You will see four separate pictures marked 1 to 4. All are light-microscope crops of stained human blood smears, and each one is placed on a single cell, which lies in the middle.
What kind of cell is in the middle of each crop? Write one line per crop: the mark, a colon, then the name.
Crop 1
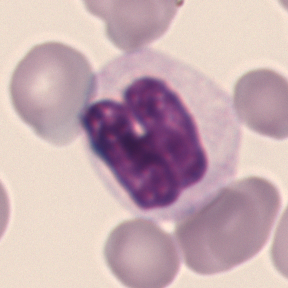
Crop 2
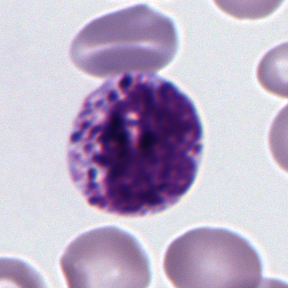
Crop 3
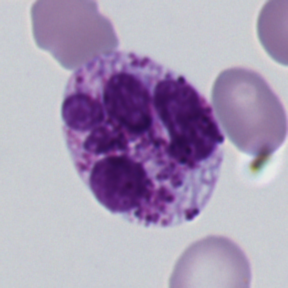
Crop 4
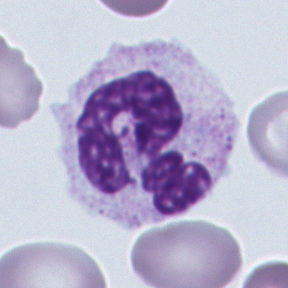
1: neutrophil
2: basophil
3: basophil
4: neutrophil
